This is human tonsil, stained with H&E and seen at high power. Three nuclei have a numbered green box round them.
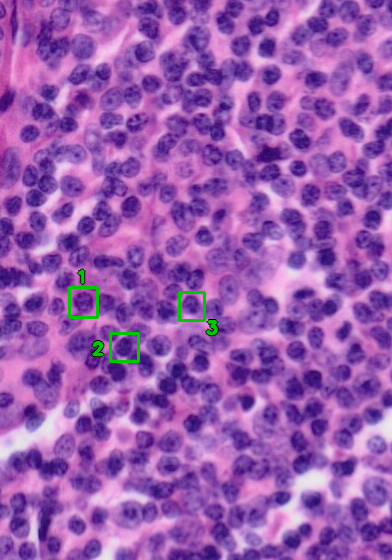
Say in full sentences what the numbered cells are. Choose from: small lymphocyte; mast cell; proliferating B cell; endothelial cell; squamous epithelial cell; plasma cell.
Cell 1 is a plasma cell. Cells 2 and 3 are small lymphocytes.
